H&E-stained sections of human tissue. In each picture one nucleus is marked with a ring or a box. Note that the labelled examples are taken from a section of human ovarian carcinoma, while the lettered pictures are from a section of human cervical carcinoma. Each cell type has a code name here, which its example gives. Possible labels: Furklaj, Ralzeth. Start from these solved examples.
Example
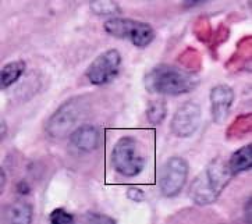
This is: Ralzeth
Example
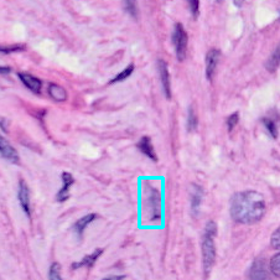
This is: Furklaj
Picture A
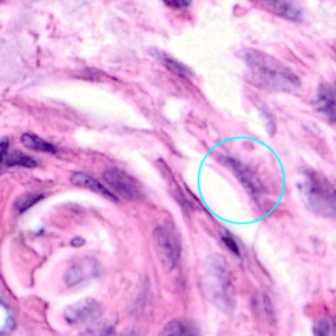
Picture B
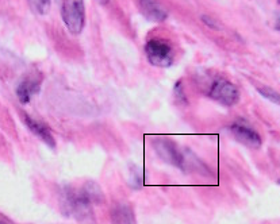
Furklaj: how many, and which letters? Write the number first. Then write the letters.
2: A, B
